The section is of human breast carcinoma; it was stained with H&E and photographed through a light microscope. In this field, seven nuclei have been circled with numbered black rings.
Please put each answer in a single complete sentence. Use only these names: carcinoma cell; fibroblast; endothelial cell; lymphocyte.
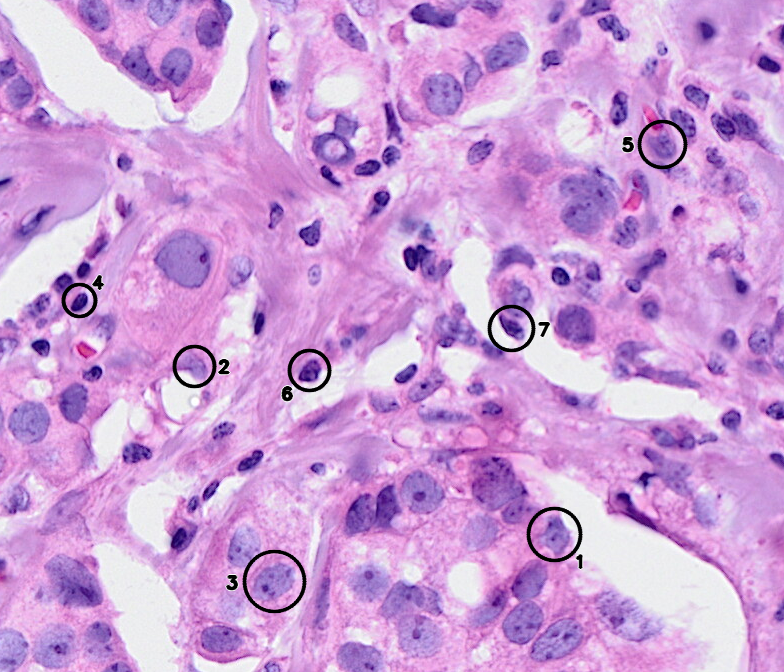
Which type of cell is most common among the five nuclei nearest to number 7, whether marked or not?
Fibroblasts account for more than half of the five nuclei nearest to number 7.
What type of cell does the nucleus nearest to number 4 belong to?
It is a lymphocyte whose nucleus is nearest to number 4.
